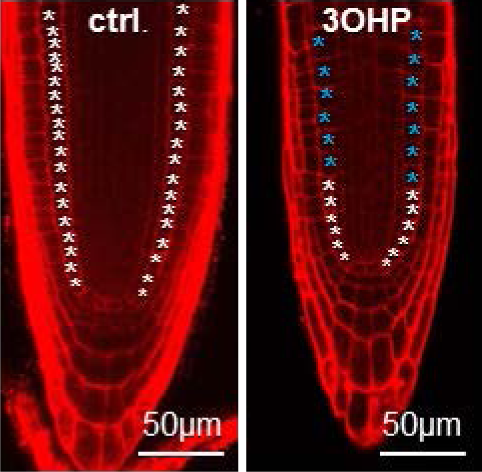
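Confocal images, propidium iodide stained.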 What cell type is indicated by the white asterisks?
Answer: Meristematic cells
